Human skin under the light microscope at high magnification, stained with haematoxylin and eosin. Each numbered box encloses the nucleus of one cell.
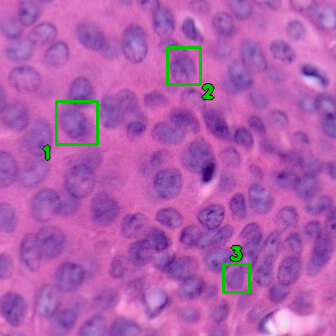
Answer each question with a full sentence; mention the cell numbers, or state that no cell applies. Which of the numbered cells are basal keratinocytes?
Cell 3 is a basal keratinocyte, while all remaining marked cells are of other types.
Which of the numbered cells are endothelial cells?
To be brief, no numbered cell here counts among the endothelial cells.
